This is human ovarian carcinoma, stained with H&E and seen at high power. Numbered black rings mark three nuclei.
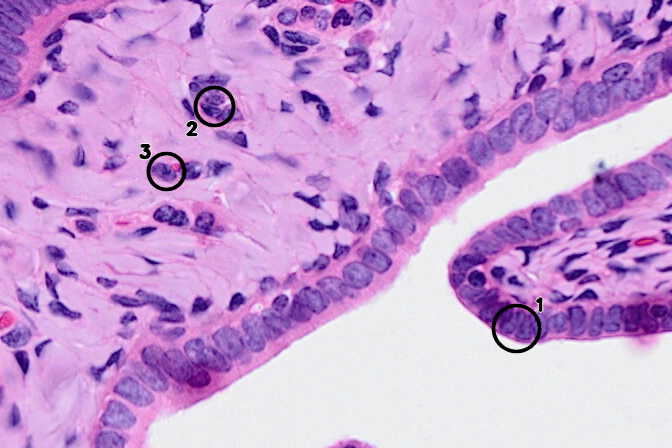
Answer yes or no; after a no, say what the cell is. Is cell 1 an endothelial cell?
No, it is a carcinoma cell.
